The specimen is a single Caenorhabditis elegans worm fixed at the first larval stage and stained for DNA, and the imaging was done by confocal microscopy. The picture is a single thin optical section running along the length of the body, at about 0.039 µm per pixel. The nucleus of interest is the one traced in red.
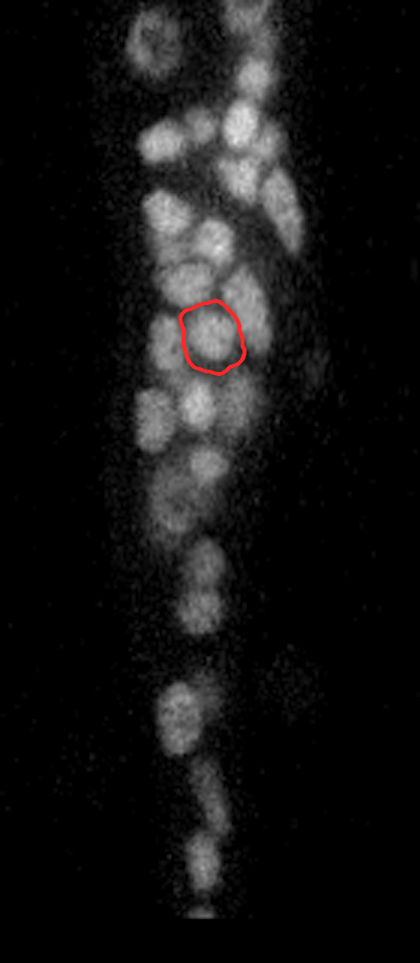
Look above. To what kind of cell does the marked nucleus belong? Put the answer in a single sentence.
The nucleus comes from a neuron.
